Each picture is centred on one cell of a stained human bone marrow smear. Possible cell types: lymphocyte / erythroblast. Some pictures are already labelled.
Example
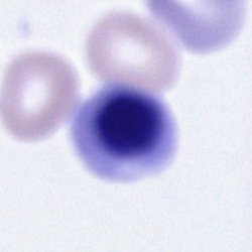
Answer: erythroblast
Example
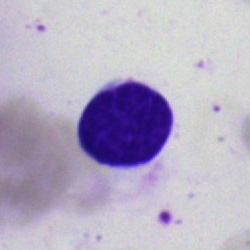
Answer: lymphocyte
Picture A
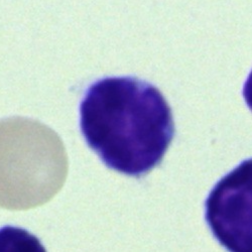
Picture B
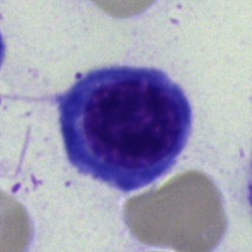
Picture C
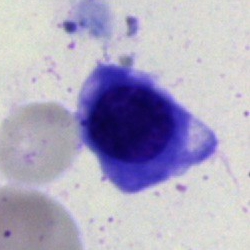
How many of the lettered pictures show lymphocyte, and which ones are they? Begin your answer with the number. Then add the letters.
Count: 1 (A)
